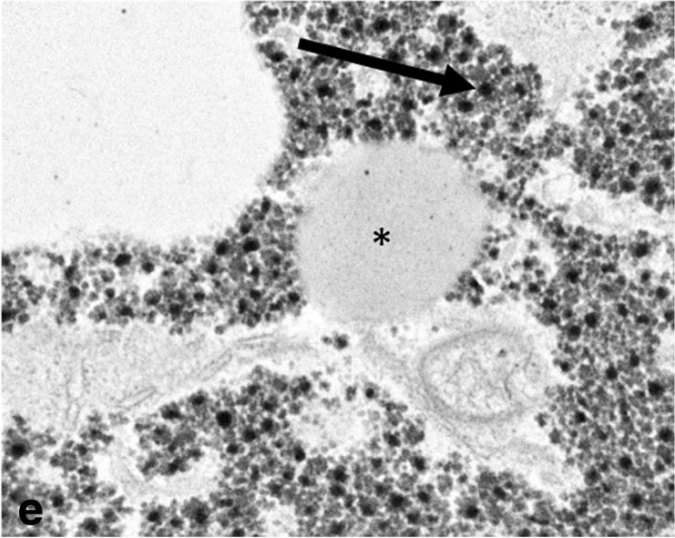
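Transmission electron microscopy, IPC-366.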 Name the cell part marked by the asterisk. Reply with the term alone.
lipid droplets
